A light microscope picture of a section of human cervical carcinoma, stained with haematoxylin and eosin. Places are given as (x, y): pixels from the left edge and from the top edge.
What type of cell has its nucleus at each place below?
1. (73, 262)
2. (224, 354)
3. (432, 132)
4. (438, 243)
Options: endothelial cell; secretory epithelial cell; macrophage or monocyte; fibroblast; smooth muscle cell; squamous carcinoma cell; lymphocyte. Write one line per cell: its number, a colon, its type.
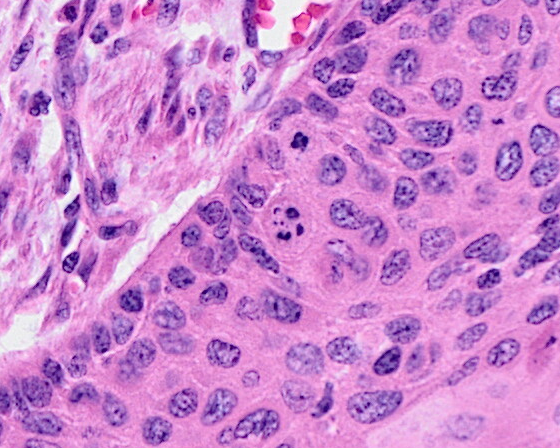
1: lymphocyte
2: squamous carcinoma cell
3: squamous carcinoma cell
4: squamous carcinoma cell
